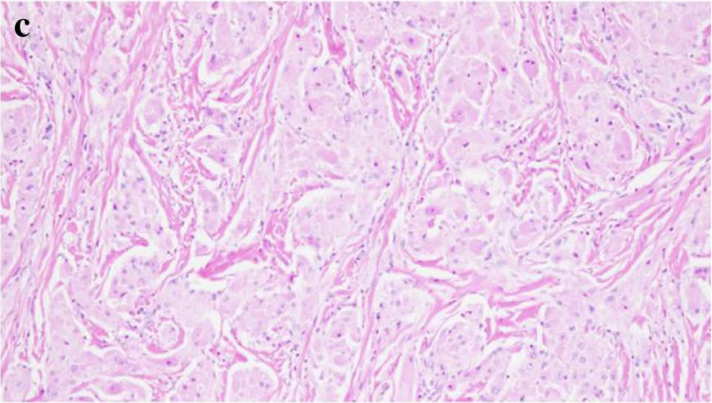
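The tumor consists of sheets, nests and ribbons of large cells with abundant pale pink granular cytoplasm and small nuclei. Thin, bright pink collagenous bands run between the cell groups and divide them.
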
